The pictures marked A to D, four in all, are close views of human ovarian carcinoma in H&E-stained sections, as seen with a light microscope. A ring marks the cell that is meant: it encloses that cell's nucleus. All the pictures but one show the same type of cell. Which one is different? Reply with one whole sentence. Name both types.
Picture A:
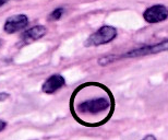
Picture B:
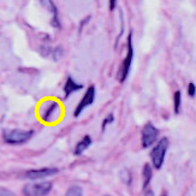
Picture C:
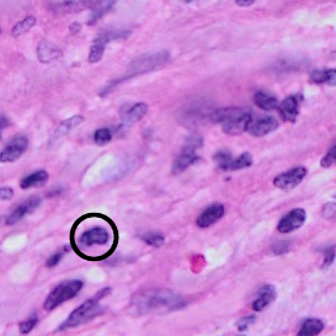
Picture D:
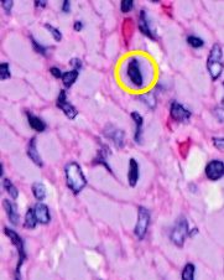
Picture B is the odd one out: it shows a fibroblast, while the others show lymphocytes.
